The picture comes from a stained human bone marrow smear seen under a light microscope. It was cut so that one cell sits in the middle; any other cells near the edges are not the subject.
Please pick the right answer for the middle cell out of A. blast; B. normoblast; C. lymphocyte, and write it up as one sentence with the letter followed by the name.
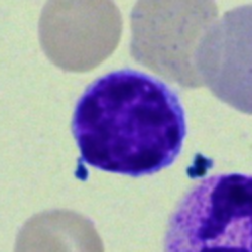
This one is option C, since the cell at the center is a lymphocyte.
